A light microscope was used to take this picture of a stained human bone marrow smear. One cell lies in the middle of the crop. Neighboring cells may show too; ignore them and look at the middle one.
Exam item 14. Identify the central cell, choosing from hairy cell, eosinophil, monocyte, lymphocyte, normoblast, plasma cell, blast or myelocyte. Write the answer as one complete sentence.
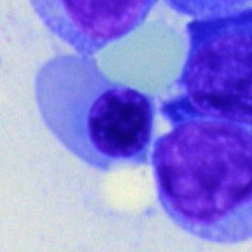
The centrally located cell in the crop is a normoblast.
